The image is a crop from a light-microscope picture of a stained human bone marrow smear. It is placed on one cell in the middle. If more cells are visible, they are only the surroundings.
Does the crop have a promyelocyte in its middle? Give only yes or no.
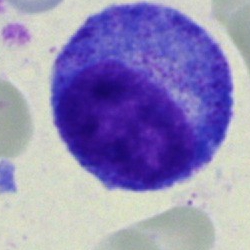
yes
